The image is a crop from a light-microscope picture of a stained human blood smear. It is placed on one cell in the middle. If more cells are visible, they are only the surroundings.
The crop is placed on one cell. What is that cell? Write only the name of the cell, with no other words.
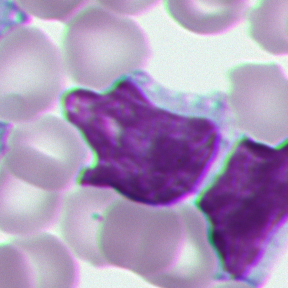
typical lymphocyte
